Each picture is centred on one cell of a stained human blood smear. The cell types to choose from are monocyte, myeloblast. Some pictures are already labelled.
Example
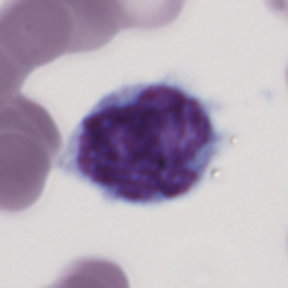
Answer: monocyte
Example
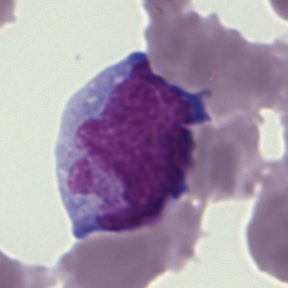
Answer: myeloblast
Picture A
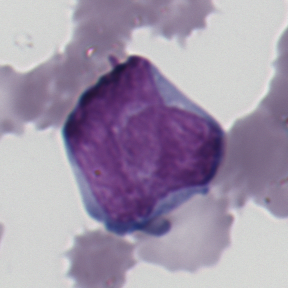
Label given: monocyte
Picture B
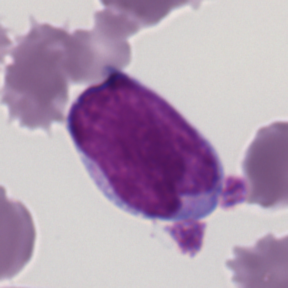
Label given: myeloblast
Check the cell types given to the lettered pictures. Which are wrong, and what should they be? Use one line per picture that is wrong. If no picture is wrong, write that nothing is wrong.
A: myeloblast, not monocyte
